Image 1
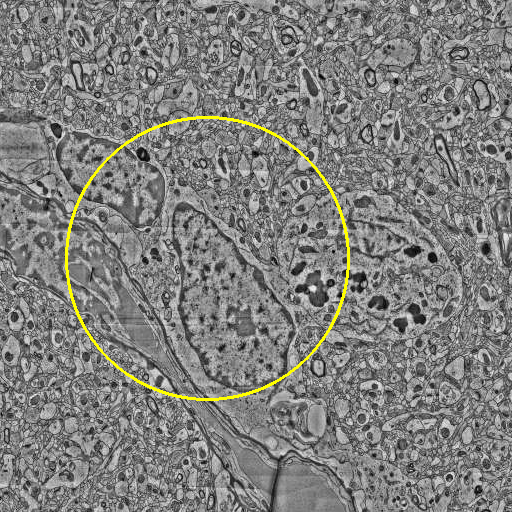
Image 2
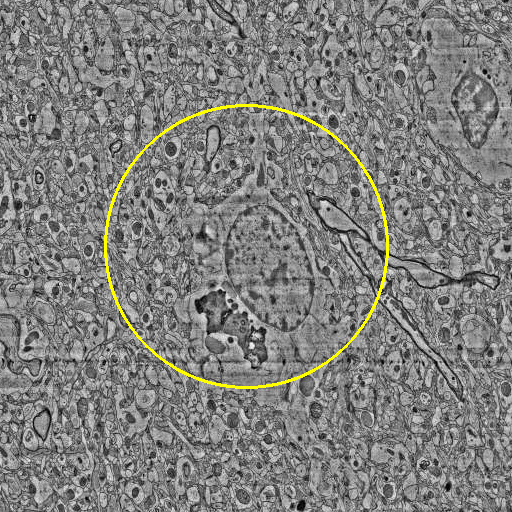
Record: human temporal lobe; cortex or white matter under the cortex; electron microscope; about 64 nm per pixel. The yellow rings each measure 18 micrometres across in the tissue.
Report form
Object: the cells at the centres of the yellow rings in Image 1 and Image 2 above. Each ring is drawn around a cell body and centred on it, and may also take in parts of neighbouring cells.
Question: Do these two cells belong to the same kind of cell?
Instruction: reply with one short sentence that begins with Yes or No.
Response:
No, they belong to two kinds of cell.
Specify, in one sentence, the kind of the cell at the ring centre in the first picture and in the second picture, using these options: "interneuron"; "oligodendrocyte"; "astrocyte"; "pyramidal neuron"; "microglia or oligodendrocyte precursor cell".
So the first is a microglial cell or oligodendrocyte precursor cell, the second an astrocyte.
